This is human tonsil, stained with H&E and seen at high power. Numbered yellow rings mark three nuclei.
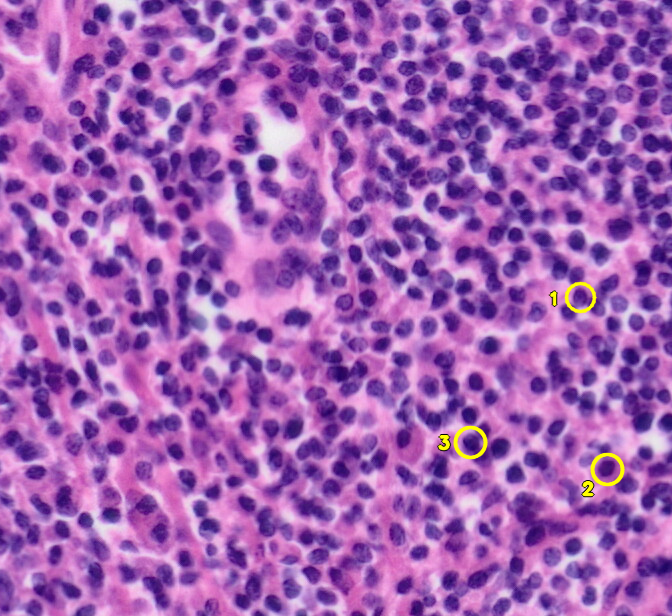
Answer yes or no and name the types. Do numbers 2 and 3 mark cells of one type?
No, cell 2 is a plasma cell whereas cell 3 is a small lymphocyte.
